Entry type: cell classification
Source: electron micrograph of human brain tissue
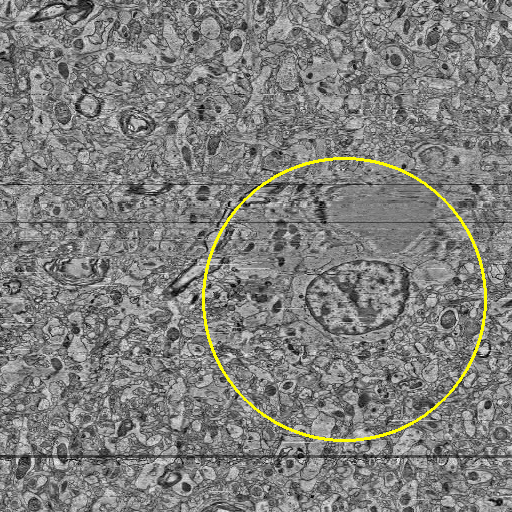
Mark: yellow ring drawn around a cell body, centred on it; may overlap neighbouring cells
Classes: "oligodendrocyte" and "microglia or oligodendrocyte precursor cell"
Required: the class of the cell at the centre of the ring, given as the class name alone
microglia or oligodendrocyte precursor cell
